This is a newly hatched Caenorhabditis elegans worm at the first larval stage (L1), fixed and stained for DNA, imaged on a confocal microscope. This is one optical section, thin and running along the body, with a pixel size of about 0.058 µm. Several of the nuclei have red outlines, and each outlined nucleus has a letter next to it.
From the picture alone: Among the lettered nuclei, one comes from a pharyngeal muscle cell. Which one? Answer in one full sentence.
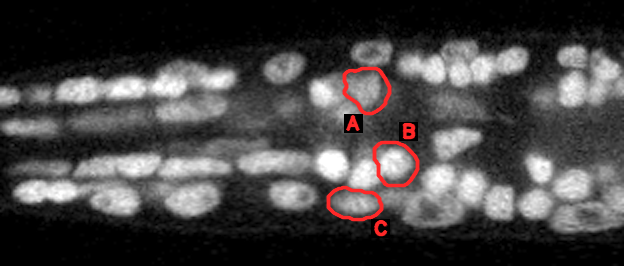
Of the marked nuclei, A is the one in a pharyngeal muscle cell.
